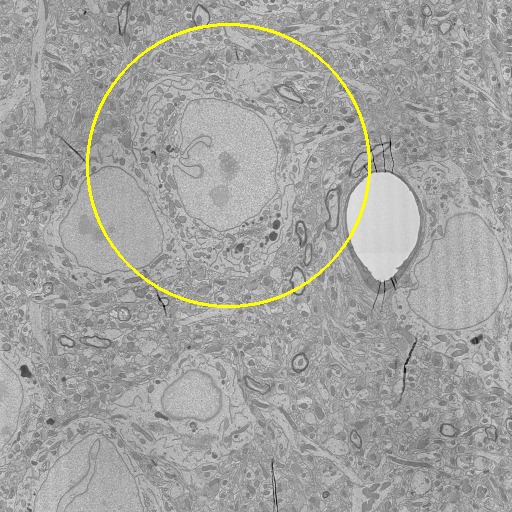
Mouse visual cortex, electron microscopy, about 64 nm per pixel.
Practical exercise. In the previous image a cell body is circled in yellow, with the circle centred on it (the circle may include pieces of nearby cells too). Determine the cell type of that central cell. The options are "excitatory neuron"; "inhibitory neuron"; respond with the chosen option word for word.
inhibitory neuron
